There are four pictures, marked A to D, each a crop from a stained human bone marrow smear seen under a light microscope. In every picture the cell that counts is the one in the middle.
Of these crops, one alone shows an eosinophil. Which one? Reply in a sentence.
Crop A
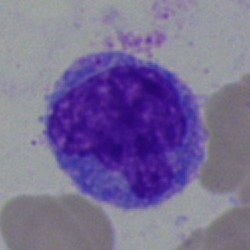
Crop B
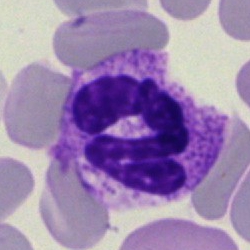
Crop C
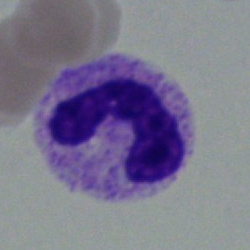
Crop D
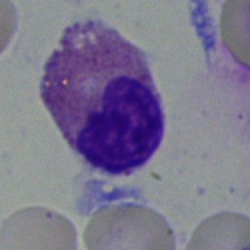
In the set of crops, crop D is the one that contains an eosinophil.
